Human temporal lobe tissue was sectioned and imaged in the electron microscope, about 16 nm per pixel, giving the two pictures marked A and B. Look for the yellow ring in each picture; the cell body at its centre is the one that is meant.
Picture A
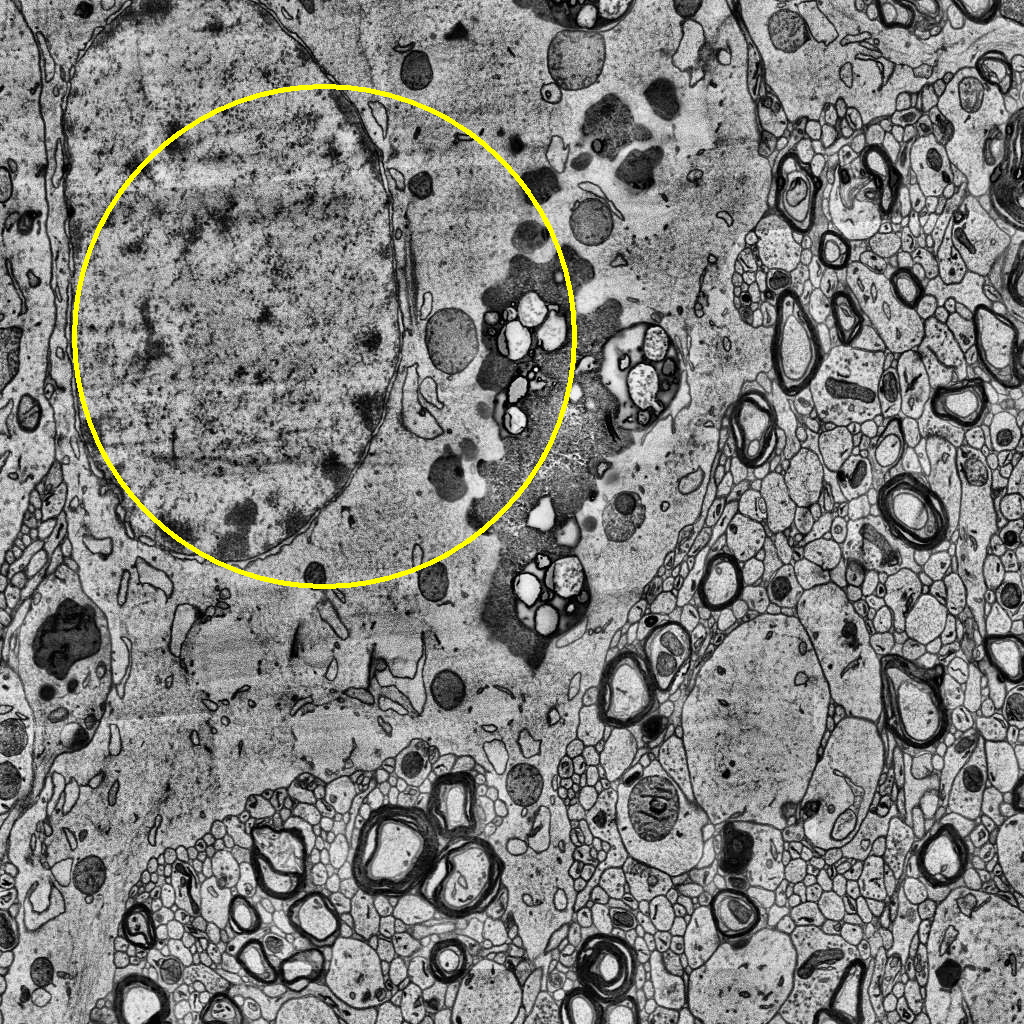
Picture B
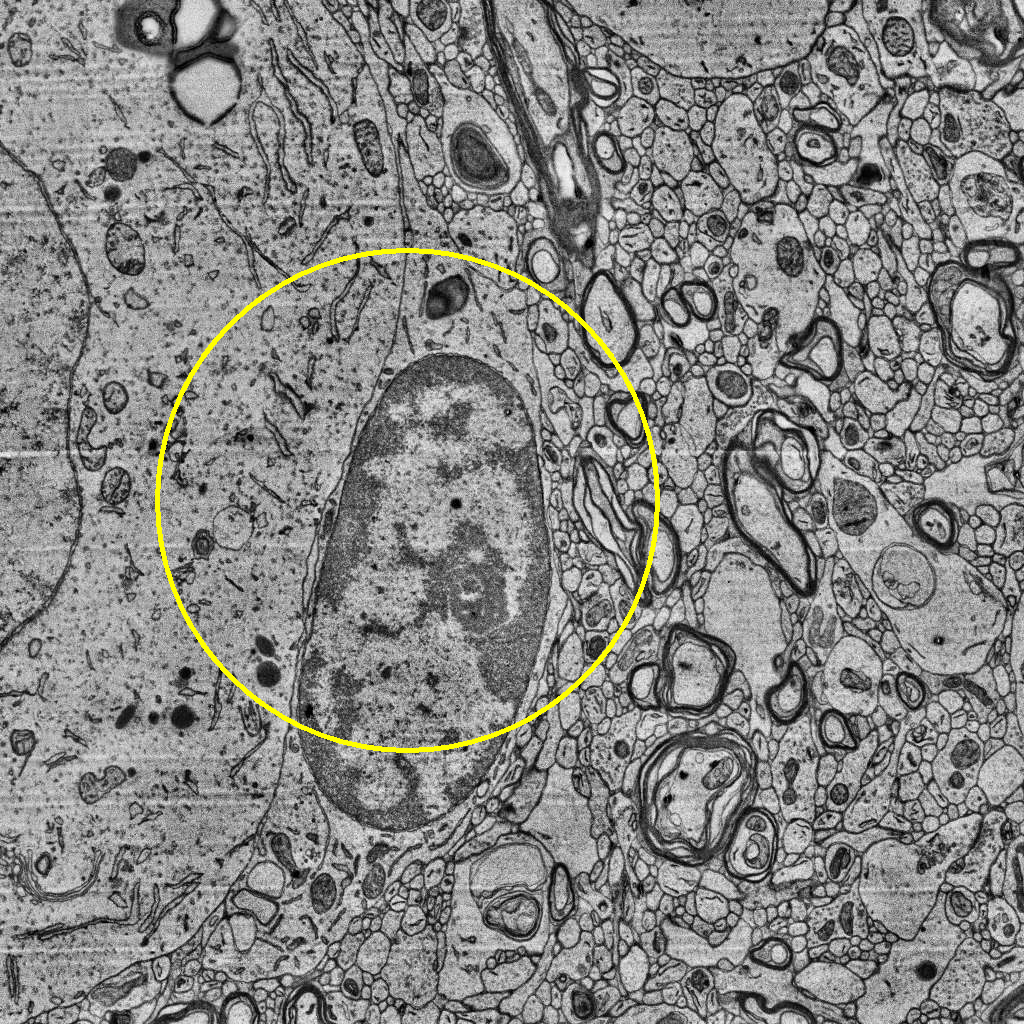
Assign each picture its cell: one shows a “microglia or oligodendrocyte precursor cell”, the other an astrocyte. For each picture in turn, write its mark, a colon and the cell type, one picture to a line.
A: astrocyte
B: microglia or oligodendrocyte precursor cell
